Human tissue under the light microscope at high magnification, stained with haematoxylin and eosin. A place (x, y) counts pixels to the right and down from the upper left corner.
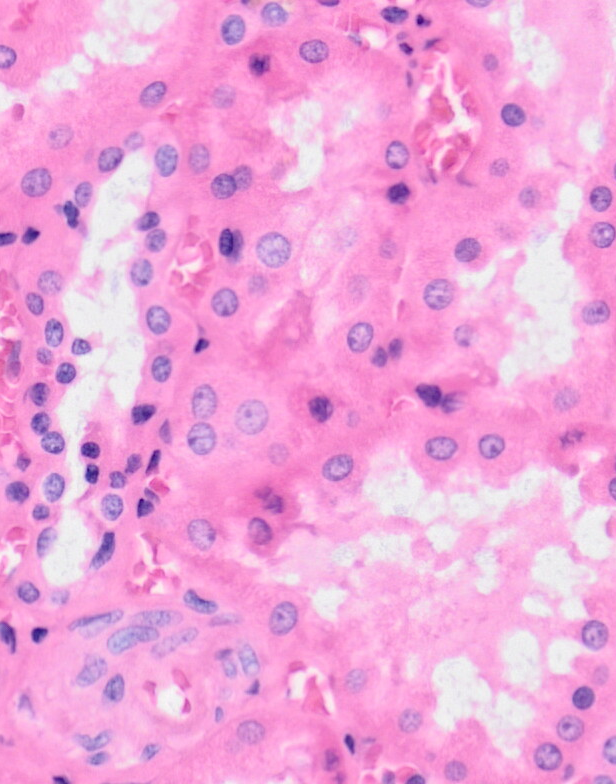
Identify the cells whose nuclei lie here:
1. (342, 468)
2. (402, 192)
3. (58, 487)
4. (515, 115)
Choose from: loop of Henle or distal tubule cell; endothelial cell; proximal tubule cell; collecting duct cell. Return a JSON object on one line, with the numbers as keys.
{"1": "proximal tubule cell", "2": "proximal tubule cell", "3": "collecting duct cell", "4": "proximal tubule cell"}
